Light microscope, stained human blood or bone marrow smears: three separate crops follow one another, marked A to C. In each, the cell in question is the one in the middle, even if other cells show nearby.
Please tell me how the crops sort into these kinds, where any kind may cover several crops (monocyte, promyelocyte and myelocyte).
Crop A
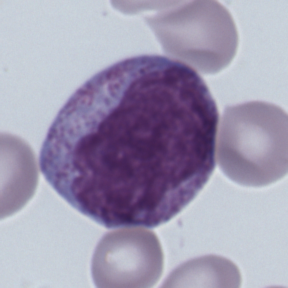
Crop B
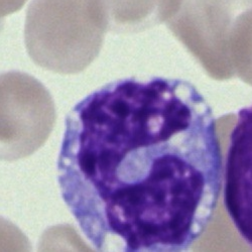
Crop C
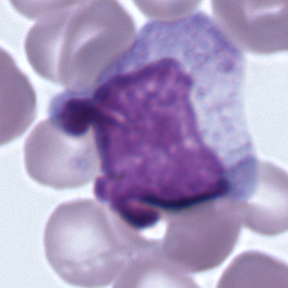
A: promyelocyte
B: monocyte
C: myelocyte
